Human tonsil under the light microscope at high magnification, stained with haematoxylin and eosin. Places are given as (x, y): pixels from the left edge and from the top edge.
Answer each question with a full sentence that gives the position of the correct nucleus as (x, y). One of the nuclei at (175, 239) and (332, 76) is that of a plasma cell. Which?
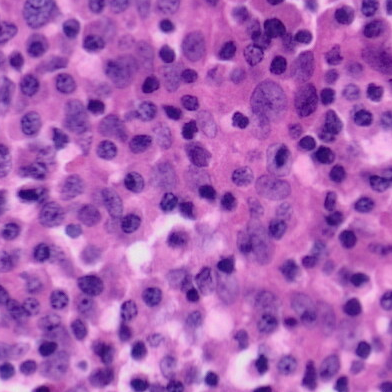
Of the two candidate nuclei, the one at (175, 239) is that of a plasma cell.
